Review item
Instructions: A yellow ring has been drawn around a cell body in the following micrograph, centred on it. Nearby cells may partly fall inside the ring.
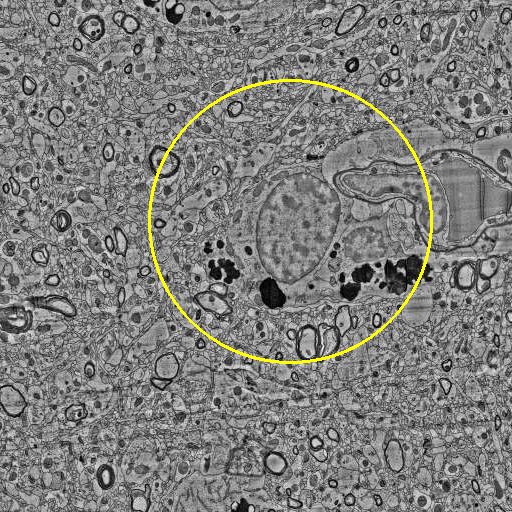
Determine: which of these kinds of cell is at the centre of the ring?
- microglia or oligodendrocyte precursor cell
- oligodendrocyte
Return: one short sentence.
The cell body in the middle of the ring is that of an oligodendrocyte.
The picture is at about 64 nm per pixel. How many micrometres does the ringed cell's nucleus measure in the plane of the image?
In this plane, the nucleus is roughly 7 by 5 micrometres.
